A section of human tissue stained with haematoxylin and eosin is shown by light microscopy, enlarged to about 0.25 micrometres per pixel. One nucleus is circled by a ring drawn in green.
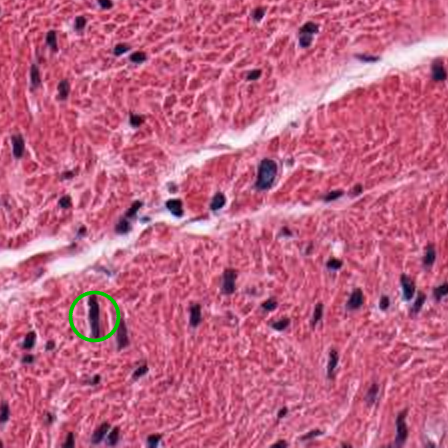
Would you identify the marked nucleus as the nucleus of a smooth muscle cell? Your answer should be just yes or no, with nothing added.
yes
